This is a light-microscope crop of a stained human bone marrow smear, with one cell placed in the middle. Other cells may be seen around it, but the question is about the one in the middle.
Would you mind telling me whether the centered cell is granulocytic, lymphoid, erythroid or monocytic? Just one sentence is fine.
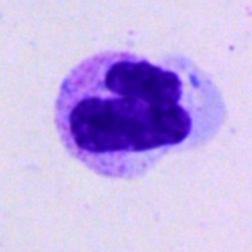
The cell sitting in the middle of this crop is of the granulocytic line.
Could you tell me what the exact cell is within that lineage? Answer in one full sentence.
Framed in the middle of the crop is a segmented neutrophil.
